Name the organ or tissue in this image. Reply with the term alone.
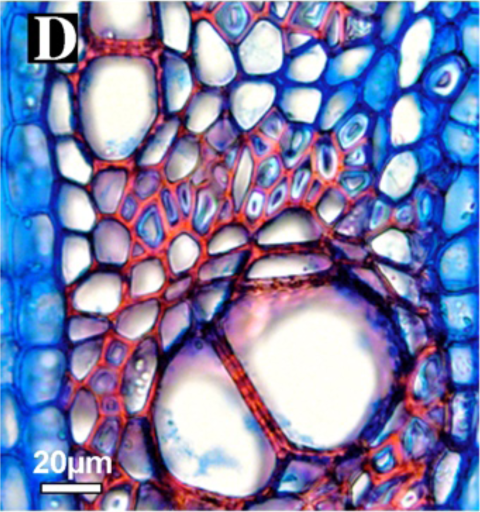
Secondary xylem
